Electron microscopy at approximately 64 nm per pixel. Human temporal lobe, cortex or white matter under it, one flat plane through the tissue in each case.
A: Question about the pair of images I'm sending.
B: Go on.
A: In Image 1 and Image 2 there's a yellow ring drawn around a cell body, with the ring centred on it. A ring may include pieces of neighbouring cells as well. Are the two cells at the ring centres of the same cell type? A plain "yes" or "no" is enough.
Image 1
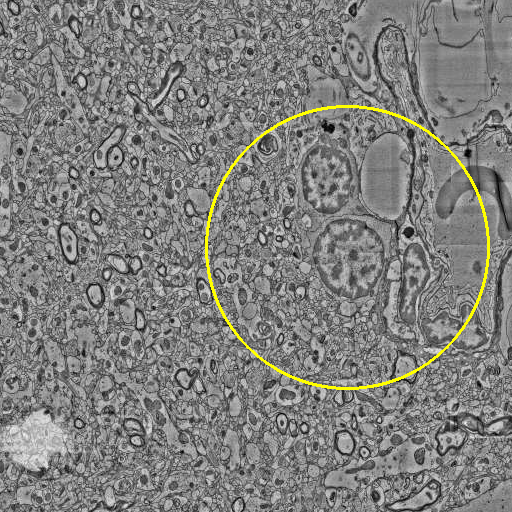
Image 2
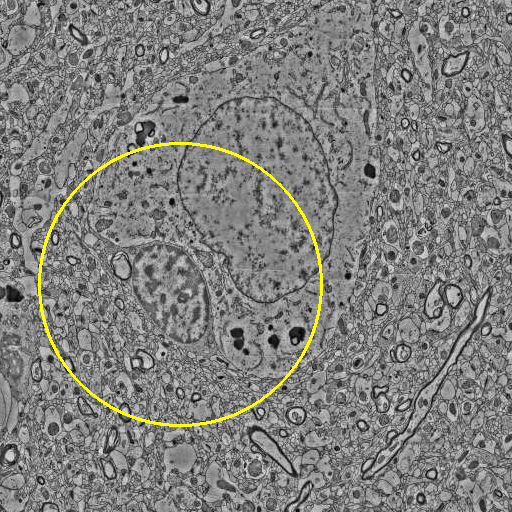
yes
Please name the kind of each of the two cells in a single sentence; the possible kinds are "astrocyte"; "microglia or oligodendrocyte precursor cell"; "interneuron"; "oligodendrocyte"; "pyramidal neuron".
The cell in the first picture is an oligodendrocyte, and so is the one in the second.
